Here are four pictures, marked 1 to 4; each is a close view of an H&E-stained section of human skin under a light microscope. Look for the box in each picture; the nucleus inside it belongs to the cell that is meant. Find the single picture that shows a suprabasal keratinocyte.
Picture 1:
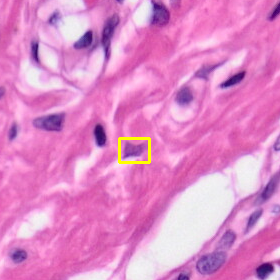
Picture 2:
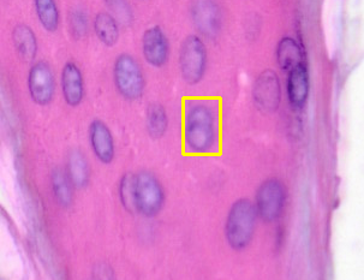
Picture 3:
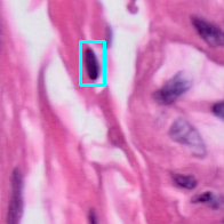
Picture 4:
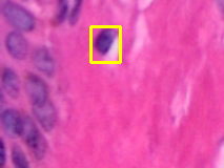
2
